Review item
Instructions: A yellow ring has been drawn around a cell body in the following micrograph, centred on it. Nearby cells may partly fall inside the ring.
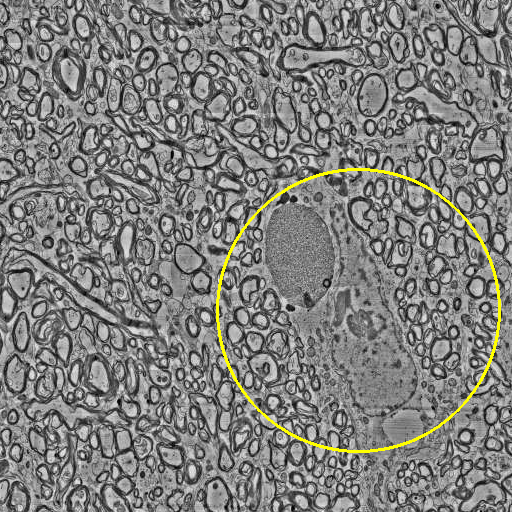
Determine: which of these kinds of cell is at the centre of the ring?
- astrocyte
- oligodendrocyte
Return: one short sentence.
The cell body in the middle of the ring is that of an astrocyte.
